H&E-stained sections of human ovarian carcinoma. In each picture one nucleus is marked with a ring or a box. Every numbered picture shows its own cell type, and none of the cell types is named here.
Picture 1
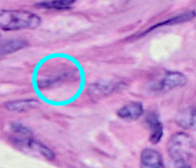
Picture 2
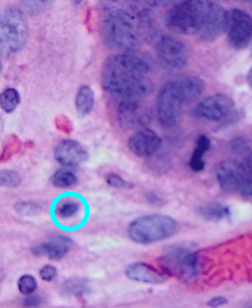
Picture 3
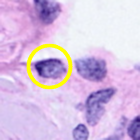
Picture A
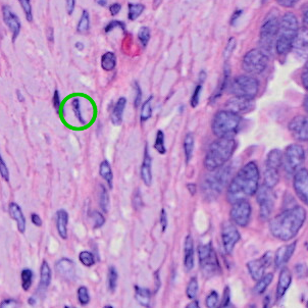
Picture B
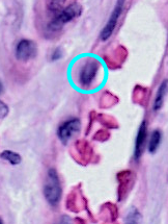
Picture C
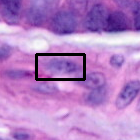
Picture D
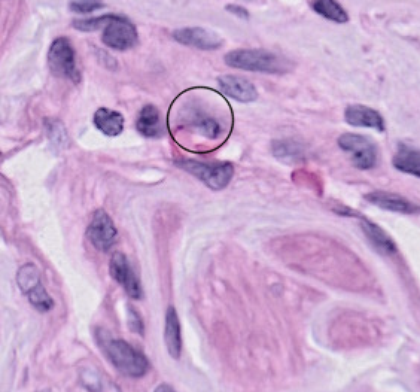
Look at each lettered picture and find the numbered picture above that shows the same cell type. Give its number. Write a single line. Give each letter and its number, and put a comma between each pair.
A 1, B 3, C 3, D 3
